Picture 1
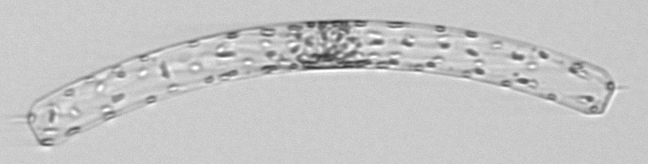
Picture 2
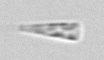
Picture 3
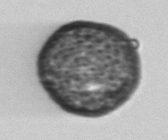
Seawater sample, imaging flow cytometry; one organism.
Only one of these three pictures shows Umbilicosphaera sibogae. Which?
Picture 3.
